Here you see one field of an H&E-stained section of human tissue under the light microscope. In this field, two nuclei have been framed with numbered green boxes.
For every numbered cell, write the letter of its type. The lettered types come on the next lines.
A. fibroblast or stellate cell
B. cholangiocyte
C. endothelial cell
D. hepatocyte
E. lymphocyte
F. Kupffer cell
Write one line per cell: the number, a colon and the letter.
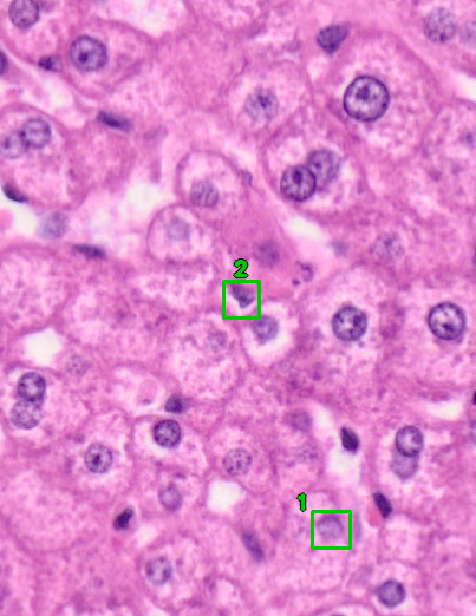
1: D
2: C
